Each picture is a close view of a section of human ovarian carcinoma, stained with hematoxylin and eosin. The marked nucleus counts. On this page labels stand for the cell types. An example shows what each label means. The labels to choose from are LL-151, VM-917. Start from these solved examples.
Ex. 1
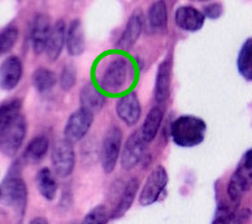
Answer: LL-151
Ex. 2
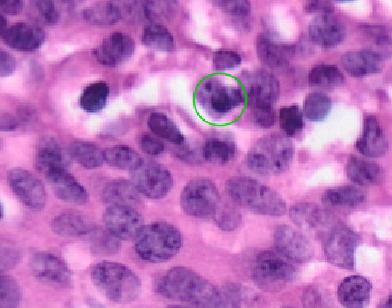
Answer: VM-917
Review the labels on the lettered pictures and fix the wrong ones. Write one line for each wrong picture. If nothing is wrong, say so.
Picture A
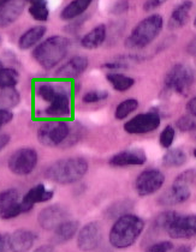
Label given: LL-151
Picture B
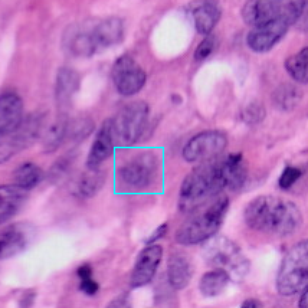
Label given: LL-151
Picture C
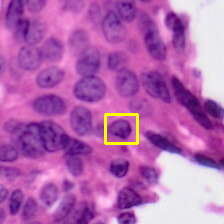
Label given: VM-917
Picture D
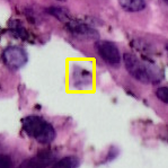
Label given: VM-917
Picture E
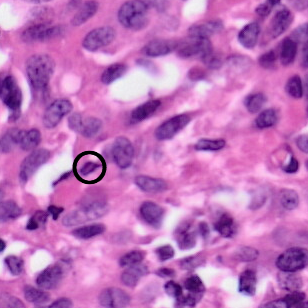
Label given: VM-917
Wrong: E (VM-917); correct: LL-151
